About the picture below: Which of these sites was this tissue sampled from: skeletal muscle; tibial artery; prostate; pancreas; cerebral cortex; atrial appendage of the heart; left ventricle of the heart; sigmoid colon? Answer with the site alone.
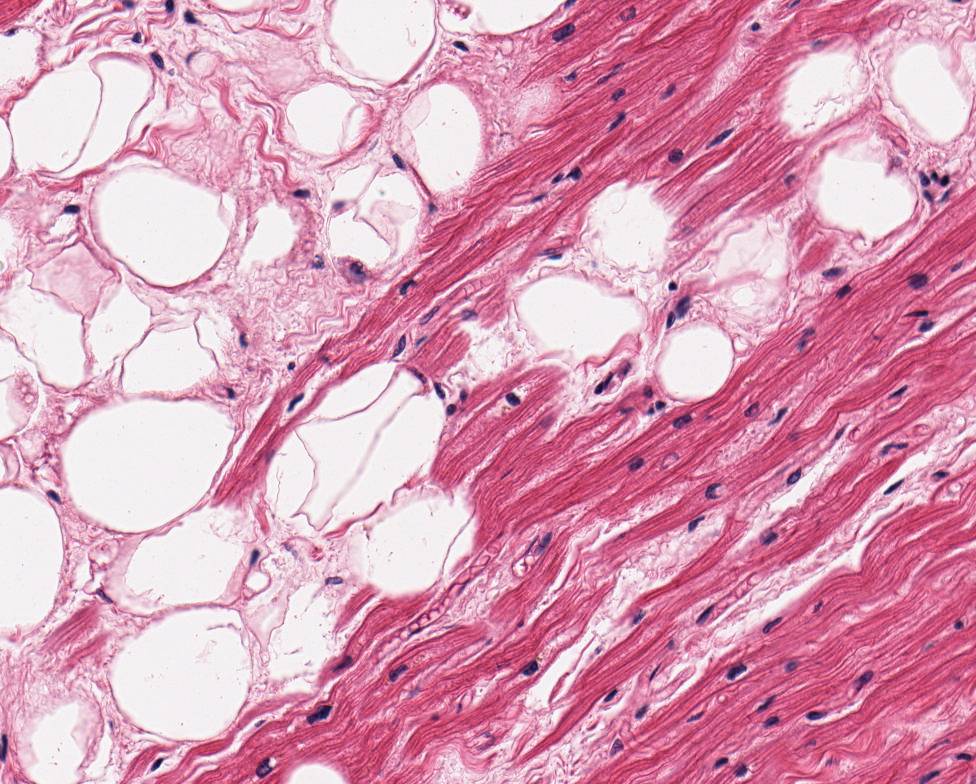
atrial appendage of the heart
